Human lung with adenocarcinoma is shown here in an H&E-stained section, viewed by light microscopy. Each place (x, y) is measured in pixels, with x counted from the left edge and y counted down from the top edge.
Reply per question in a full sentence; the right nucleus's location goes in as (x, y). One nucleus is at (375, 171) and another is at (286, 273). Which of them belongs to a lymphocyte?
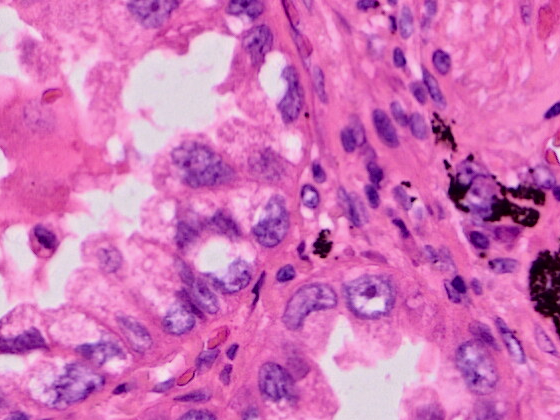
The correct choice is the nucleus at (286, 273), which belongs to a lymphocyte.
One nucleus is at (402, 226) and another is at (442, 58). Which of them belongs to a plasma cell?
The nucleus at (402, 226), rather than the other one, belongs to a plasma cell.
